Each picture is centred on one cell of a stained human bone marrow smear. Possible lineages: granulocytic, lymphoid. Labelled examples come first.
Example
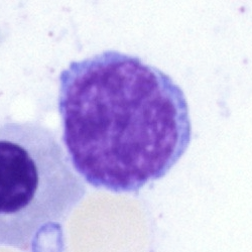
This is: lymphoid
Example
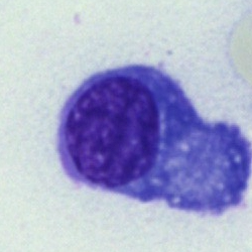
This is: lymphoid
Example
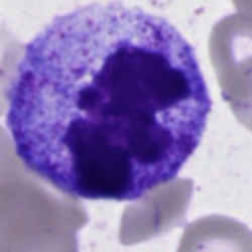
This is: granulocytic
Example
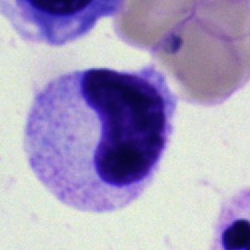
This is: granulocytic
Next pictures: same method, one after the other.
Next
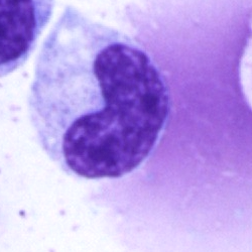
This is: granulocytic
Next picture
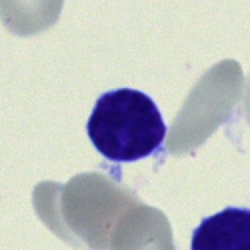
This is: lymphoid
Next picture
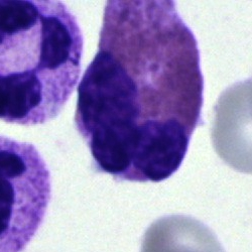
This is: granulocytic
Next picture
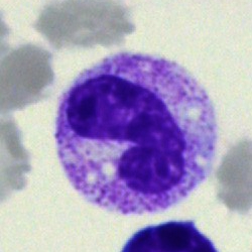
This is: granulocytic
